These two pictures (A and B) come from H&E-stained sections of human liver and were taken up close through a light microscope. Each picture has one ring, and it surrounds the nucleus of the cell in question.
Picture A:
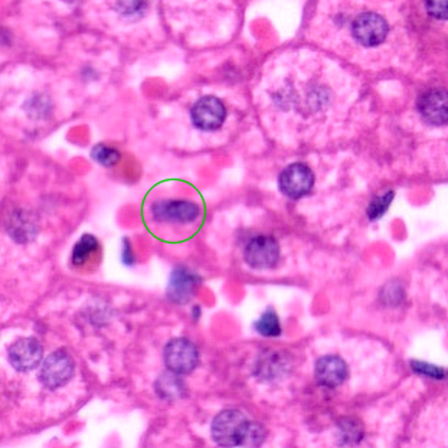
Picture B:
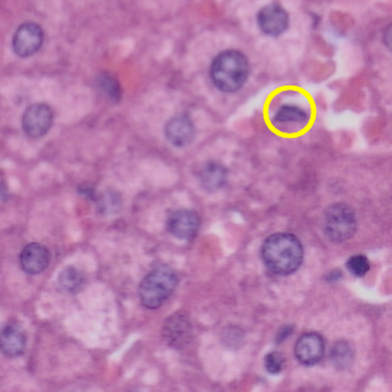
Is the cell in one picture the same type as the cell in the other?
no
